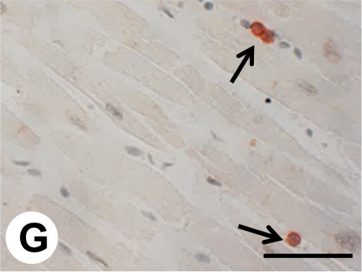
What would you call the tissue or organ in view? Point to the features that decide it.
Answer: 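Parallel elongated muscle fibres with central oval nuclei. Fibres are largely unstained, pale beige.
Conclusion: heart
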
